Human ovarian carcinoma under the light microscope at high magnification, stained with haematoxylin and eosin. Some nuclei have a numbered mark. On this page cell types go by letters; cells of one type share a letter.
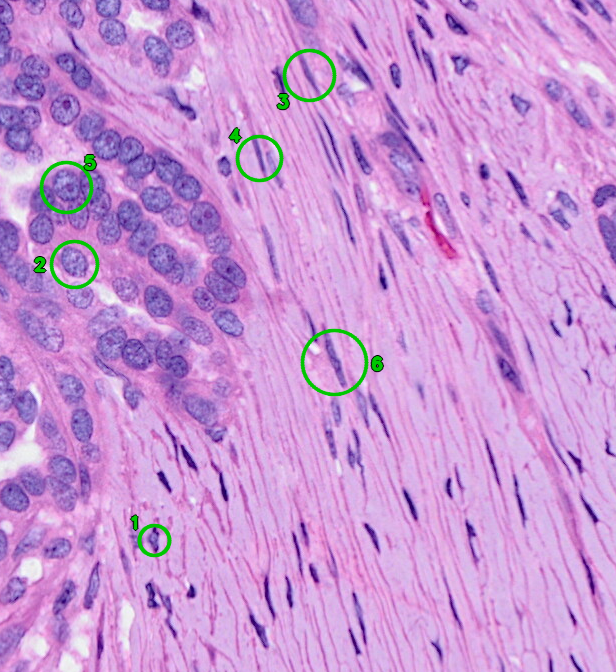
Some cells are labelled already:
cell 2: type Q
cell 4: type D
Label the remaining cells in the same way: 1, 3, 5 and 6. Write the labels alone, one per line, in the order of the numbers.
type D
type D
type Q
type D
